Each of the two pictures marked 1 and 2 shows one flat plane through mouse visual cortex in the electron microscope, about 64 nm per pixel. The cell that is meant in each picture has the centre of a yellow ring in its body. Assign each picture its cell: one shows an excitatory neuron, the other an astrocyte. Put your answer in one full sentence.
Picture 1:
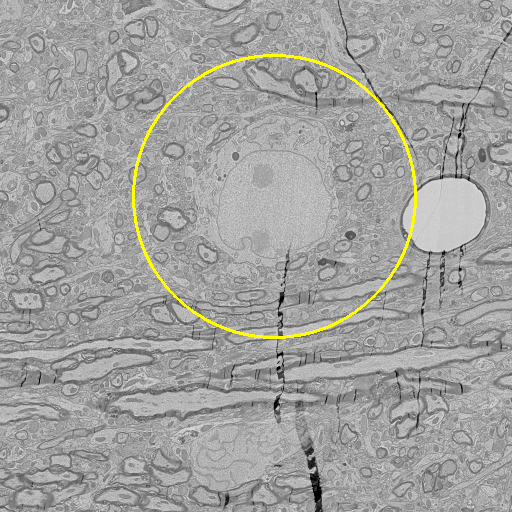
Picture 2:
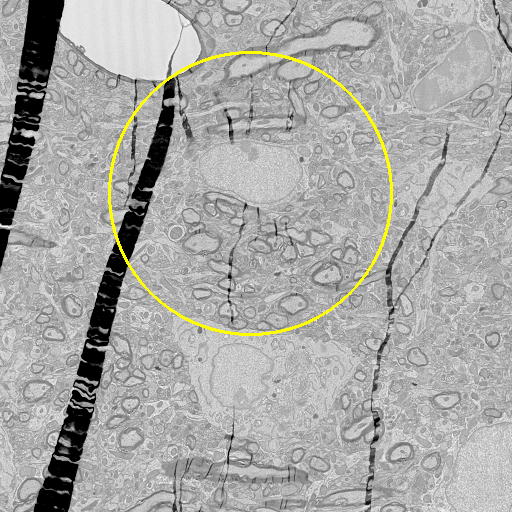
In picture 1 the cell is an excitatory neuron; in picture 2, an astrocyte.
